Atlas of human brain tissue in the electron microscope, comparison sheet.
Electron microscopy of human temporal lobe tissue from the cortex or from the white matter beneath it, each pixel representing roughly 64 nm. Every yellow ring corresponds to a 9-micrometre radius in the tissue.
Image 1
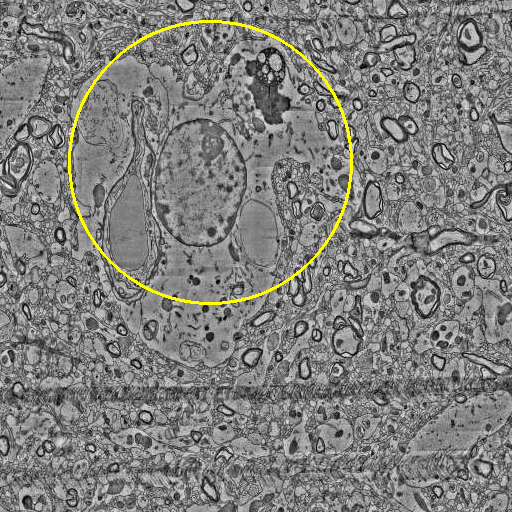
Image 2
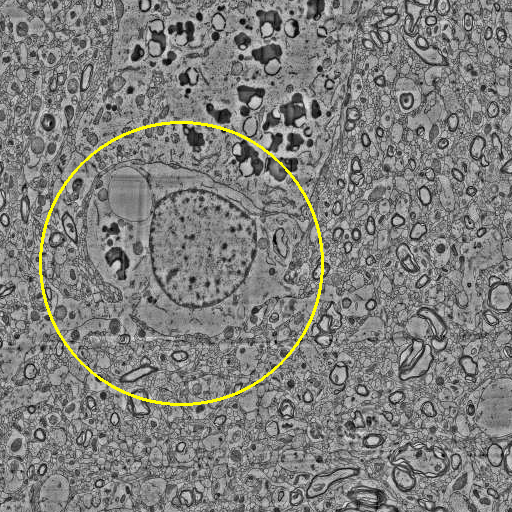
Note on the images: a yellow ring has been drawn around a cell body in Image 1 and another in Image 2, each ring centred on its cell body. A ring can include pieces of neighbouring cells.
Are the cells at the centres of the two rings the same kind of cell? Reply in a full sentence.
Yes, both cells are of the same kind.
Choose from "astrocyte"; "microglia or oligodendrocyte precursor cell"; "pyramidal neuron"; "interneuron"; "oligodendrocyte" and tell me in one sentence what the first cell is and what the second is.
Each of the two pictures has an astrocyte at the ring centre.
